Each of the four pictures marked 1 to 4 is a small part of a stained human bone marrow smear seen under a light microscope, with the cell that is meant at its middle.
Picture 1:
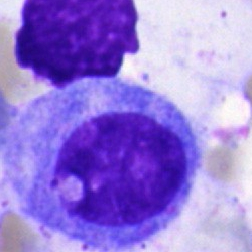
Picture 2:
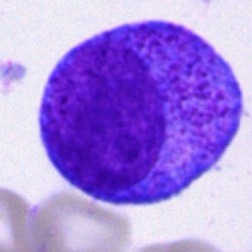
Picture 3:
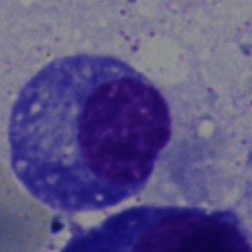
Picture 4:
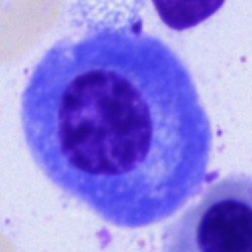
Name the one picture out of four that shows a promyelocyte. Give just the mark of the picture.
2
